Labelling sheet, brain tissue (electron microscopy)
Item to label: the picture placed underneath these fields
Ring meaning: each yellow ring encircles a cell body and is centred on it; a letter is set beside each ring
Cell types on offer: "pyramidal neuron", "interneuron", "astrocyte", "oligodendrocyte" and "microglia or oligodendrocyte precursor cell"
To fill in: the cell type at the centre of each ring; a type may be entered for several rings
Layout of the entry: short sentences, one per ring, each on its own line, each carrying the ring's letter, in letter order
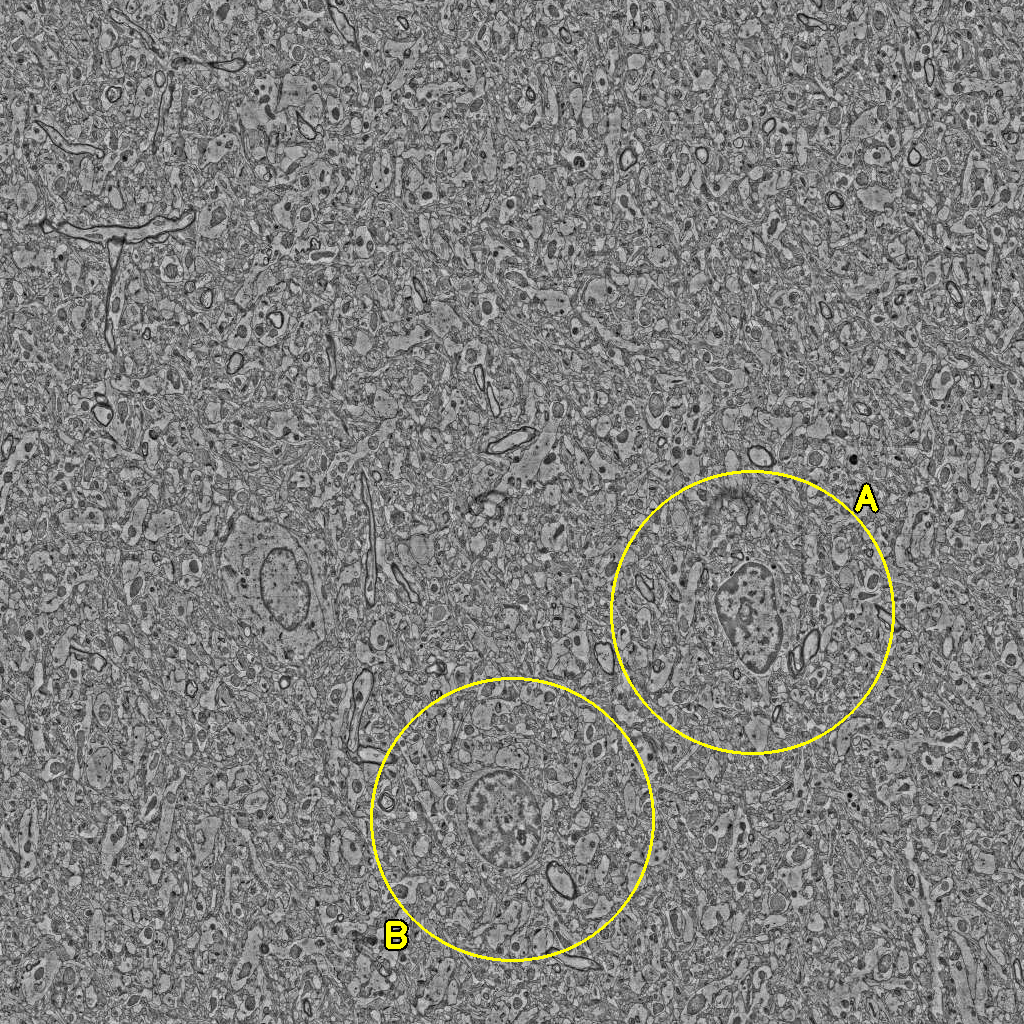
Ring A encircles the body of a microglial cell or oligodendrocyte precursor cell.
Ring B encircles the body of an oligodendrocyte.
